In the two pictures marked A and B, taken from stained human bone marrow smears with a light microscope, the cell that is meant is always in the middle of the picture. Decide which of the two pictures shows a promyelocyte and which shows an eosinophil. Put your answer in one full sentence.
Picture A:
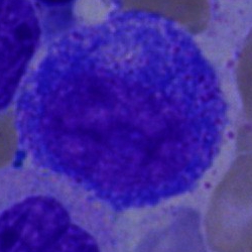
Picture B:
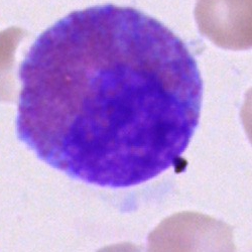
Picture A is of a promyelocyte, and picture B is of an eosinophil.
